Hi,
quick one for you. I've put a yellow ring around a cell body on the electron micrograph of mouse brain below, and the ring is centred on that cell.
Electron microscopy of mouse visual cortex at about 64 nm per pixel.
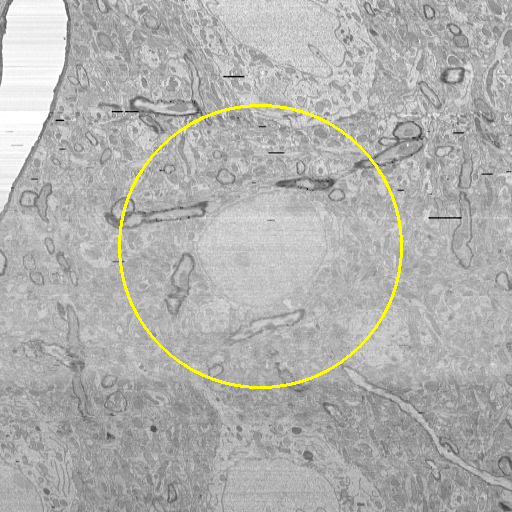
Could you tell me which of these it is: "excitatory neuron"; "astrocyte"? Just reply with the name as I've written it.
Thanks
astrocyte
